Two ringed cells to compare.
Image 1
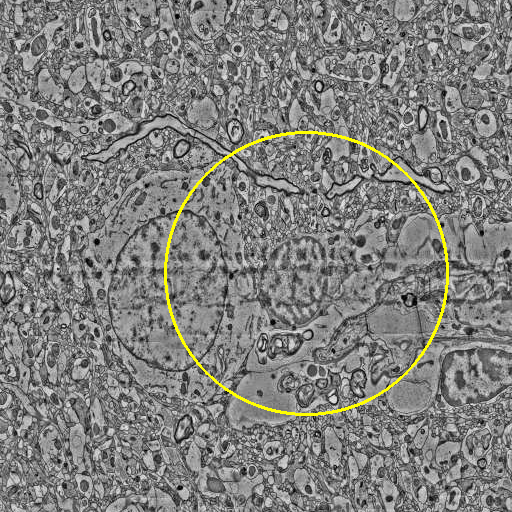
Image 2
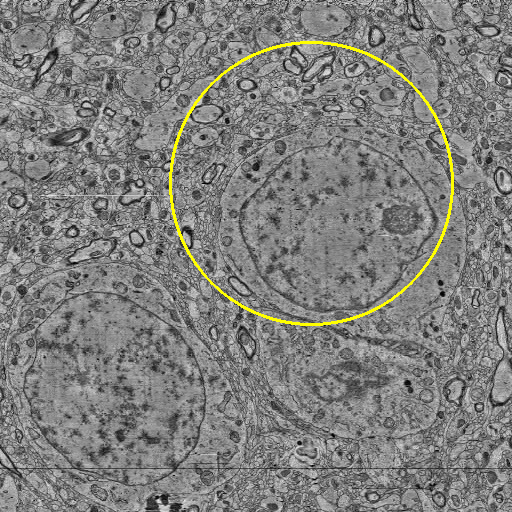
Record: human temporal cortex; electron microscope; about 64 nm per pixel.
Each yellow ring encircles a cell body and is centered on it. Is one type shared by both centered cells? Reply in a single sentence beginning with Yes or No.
No, two types are found among the cells at the centers of the rings.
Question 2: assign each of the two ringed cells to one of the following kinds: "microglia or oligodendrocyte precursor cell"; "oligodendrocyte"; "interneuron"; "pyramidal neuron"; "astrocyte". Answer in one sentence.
The two cells are an oligodendrocyte in the first picture and a pyramidal neuron in the second.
